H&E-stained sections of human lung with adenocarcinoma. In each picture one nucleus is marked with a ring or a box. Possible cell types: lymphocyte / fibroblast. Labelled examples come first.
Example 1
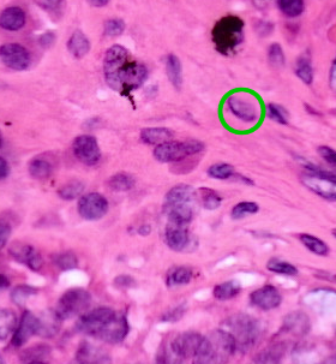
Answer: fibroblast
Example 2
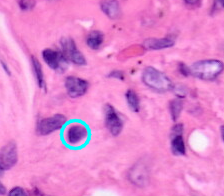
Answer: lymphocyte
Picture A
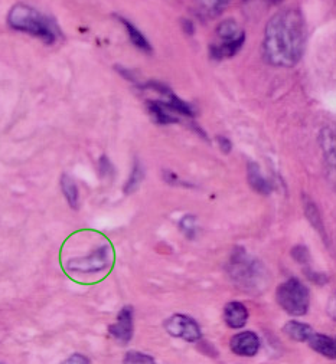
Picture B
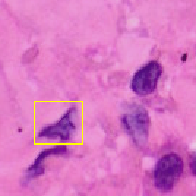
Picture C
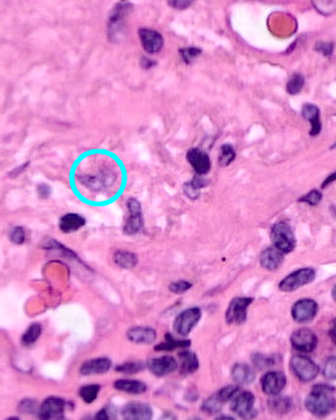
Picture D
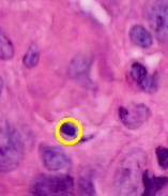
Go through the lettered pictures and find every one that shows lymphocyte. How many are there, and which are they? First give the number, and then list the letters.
1: D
